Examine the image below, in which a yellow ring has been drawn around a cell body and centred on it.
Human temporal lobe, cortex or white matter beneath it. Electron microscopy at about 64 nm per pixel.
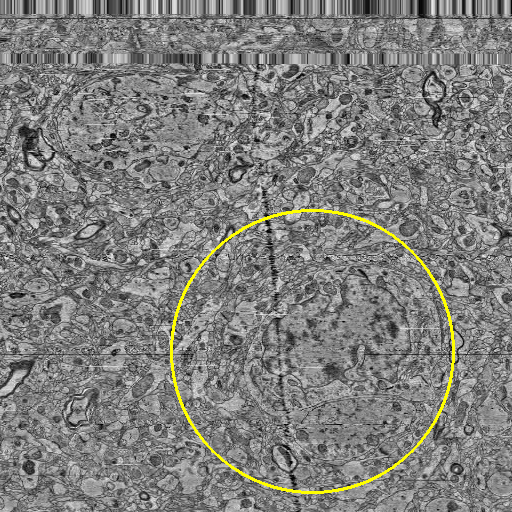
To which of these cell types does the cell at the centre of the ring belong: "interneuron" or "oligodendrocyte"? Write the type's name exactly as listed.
interneuron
